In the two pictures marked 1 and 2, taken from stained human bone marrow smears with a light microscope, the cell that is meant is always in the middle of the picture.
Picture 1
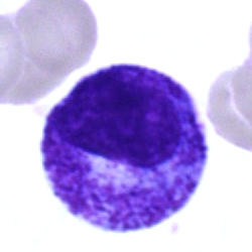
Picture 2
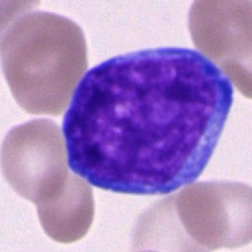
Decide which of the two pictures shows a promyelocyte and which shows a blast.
1: promyelocyte
2: blast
